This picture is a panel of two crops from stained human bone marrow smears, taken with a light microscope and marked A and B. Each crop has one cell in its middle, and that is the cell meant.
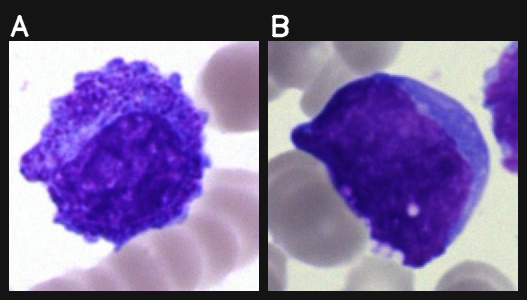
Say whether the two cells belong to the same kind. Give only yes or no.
no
